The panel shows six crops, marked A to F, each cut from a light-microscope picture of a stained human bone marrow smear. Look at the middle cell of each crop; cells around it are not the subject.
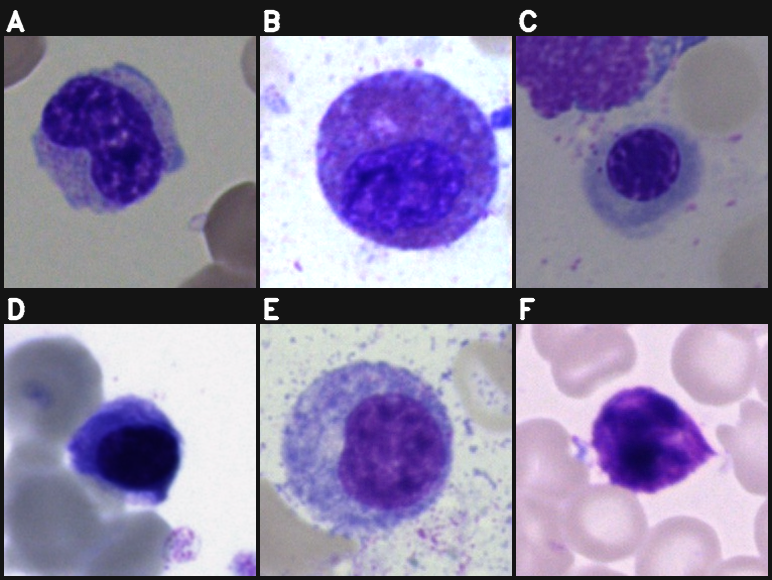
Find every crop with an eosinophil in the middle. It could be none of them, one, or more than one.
B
